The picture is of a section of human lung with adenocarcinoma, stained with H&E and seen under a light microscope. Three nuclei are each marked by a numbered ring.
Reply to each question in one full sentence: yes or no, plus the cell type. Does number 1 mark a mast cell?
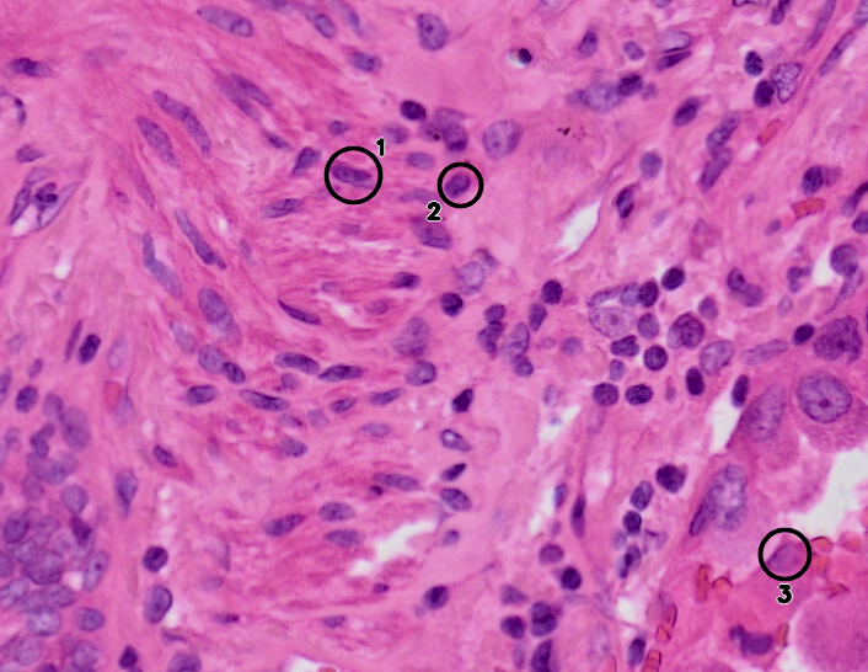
No, the cell given the number 1 is a smooth muscle cell or pericyte, so not a mast cell.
